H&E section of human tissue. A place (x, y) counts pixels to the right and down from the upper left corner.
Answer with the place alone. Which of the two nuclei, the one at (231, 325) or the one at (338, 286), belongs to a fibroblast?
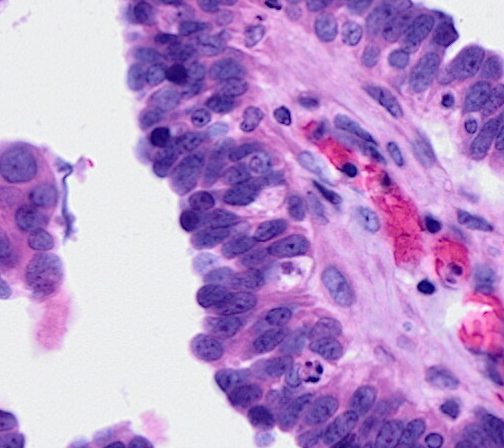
(338, 286)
